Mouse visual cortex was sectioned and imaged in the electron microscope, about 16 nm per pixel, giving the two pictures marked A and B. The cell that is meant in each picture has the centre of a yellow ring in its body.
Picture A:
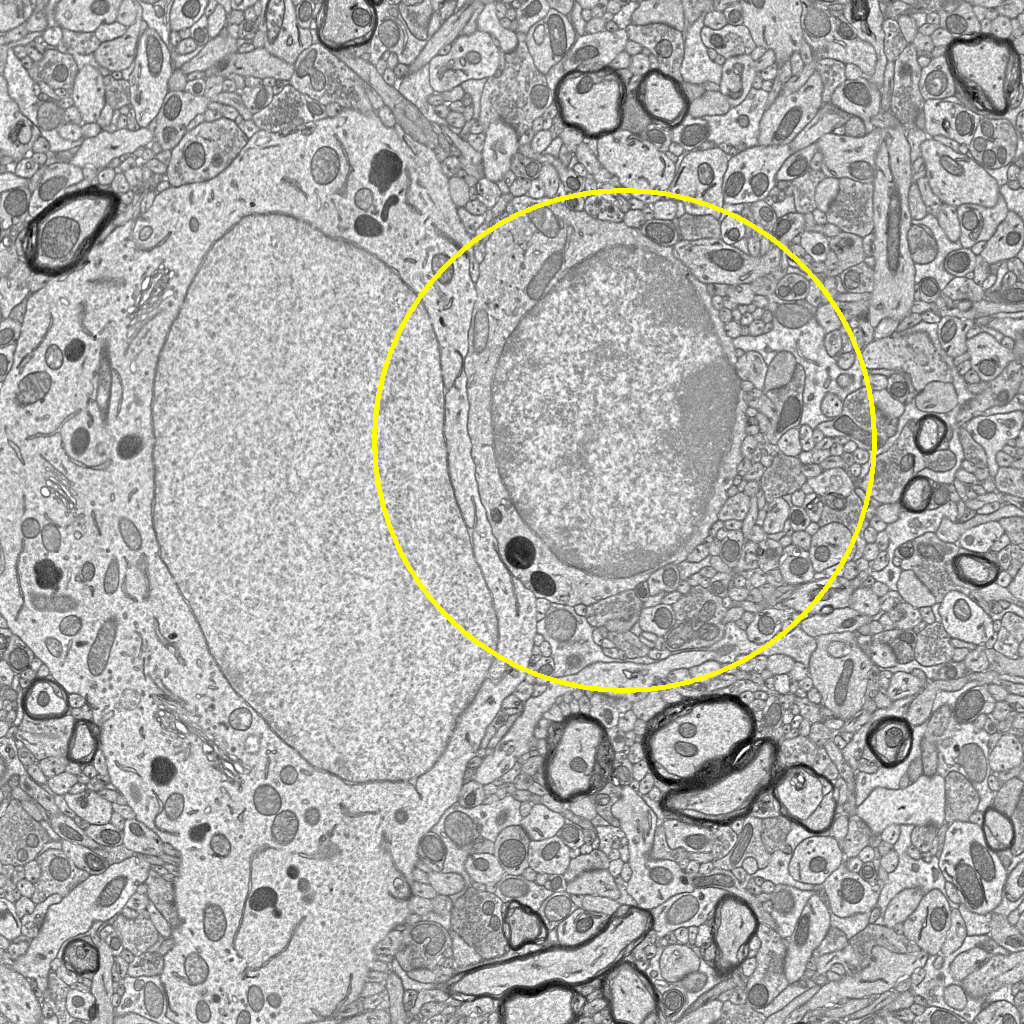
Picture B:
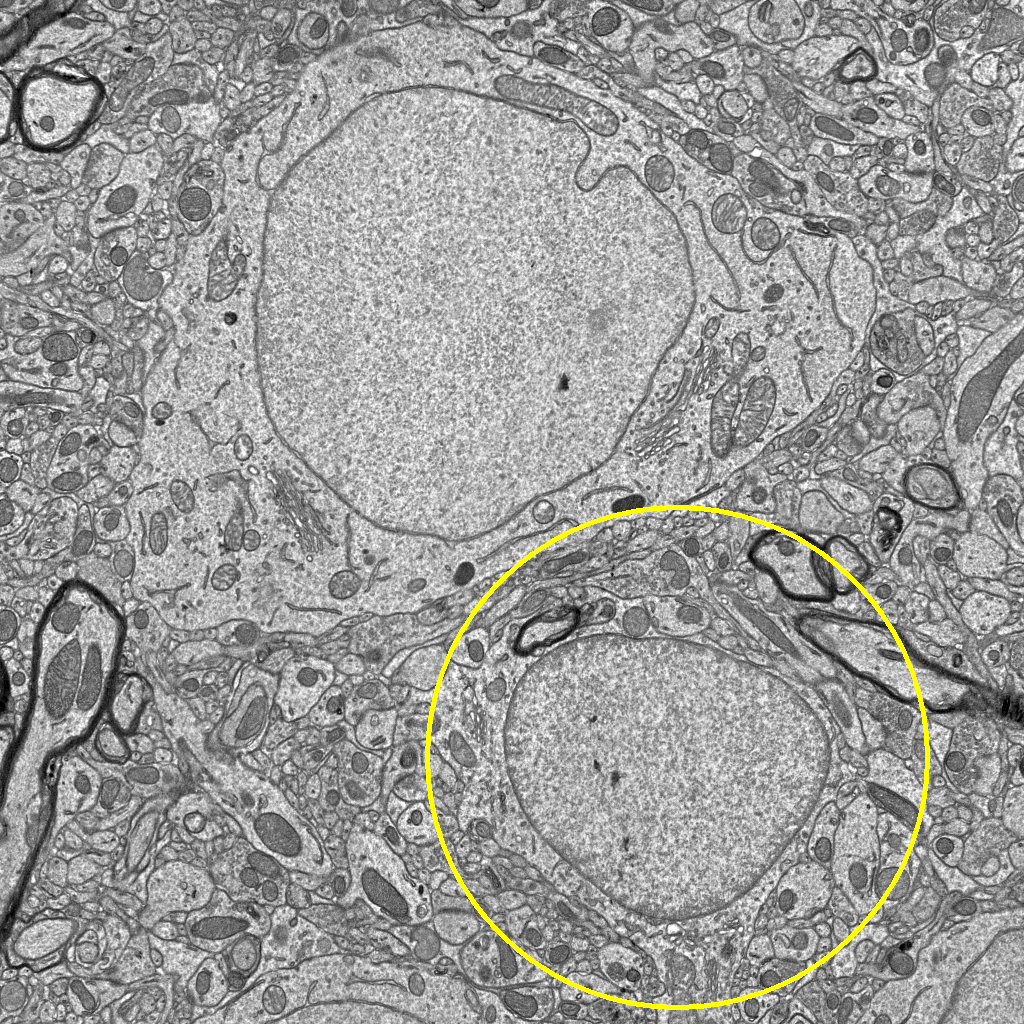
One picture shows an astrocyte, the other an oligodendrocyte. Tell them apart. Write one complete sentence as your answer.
Picture A shows an oligodendrocyte and picture B shows an astrocyte.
